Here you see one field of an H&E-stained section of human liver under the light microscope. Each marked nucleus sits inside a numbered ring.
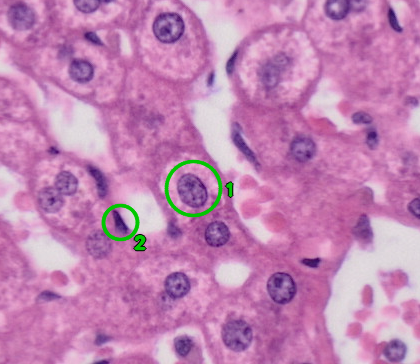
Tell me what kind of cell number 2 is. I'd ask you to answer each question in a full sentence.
In this section, the cell tagged 2 is a fibroblast or stellate cell.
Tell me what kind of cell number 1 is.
At number 1, the marked cell is a hepatocyte.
